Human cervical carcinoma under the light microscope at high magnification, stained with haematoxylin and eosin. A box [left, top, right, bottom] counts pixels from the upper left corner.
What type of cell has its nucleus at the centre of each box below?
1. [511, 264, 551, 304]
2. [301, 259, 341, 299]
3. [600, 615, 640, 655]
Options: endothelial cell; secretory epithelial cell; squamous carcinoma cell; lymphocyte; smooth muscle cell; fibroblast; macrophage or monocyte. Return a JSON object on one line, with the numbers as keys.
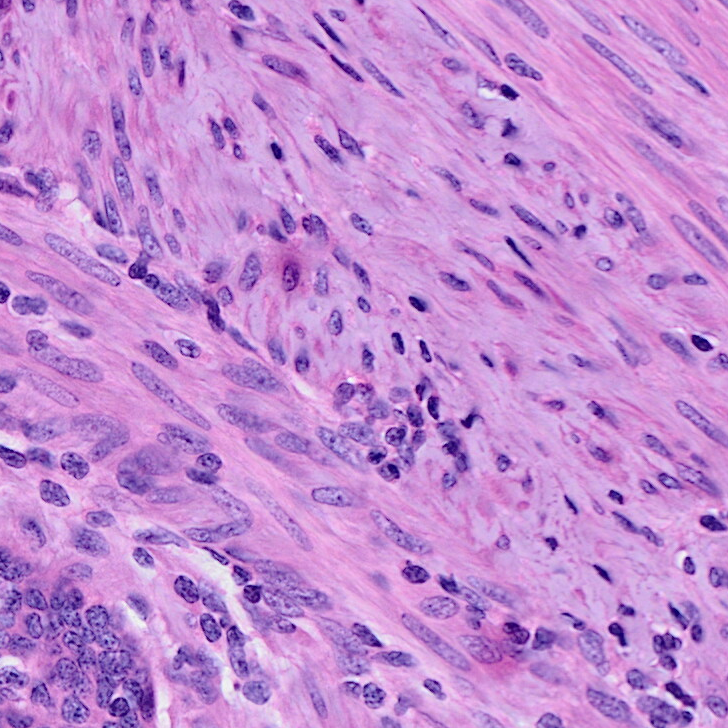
{"1": "smooth muscle cell", "2": "smooth muscle cell", "3": "lymphocyte"}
